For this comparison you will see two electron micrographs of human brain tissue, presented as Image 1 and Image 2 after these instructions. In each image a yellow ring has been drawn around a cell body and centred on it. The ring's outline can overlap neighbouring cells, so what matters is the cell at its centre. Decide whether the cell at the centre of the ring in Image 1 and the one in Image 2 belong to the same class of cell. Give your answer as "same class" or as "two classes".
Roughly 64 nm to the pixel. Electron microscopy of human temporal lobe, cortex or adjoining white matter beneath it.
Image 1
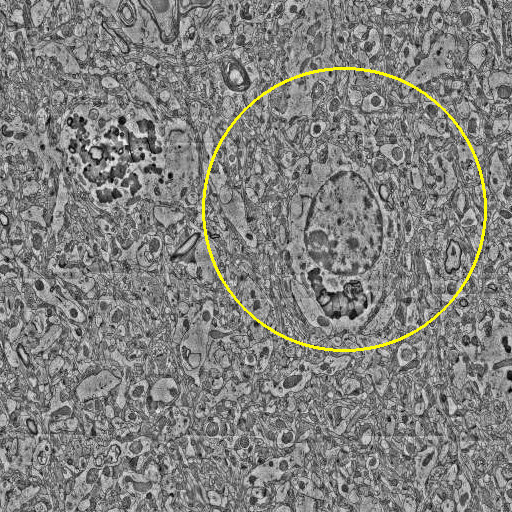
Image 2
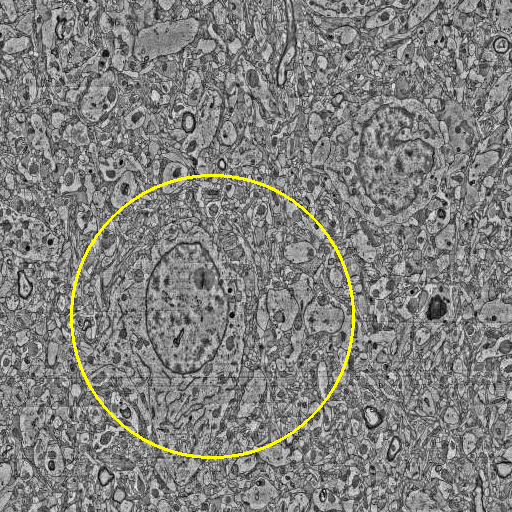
two classes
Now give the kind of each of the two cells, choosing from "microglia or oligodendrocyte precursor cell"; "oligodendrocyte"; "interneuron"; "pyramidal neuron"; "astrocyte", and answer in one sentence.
The cell in the first picture is an astrocyte, and the cell in the second is a pyramidal neuron.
